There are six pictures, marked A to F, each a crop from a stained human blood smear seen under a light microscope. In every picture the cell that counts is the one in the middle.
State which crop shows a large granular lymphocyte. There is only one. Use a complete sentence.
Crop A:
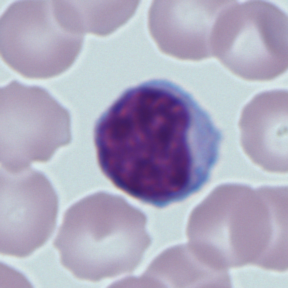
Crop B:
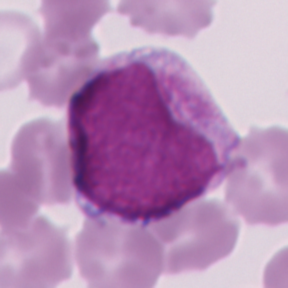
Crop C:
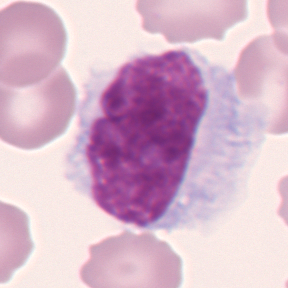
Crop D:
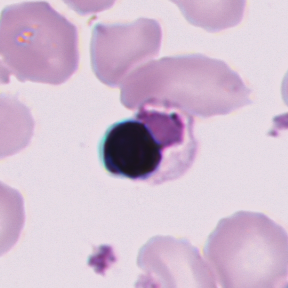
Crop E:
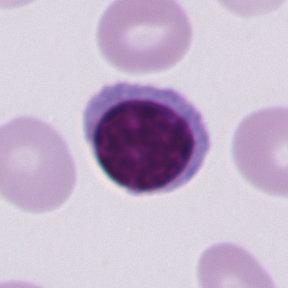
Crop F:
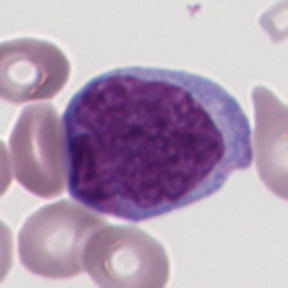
That would be crop E; it shows a large granular lymphocyte.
